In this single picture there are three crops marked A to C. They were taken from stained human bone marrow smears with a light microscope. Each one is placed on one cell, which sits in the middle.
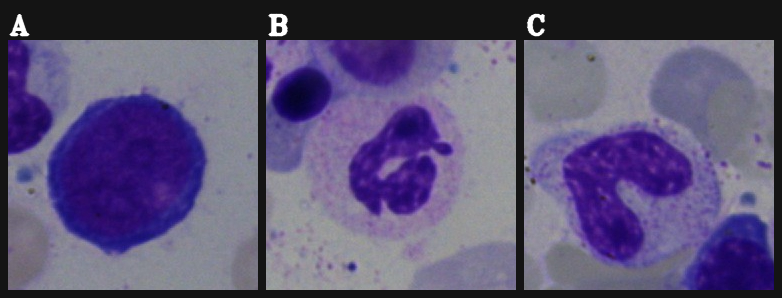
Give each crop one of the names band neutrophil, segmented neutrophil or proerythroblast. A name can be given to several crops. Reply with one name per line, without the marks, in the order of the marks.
proerythroblast
segmented neutrophil
band neutrophil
